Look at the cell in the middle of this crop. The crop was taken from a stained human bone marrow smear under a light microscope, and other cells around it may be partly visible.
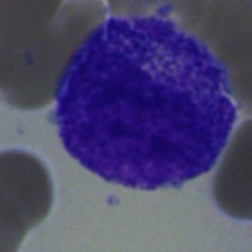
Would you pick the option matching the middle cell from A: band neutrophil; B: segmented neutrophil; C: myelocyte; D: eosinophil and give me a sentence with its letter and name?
The central cell, a myelocyte, is correctly identified by option C.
